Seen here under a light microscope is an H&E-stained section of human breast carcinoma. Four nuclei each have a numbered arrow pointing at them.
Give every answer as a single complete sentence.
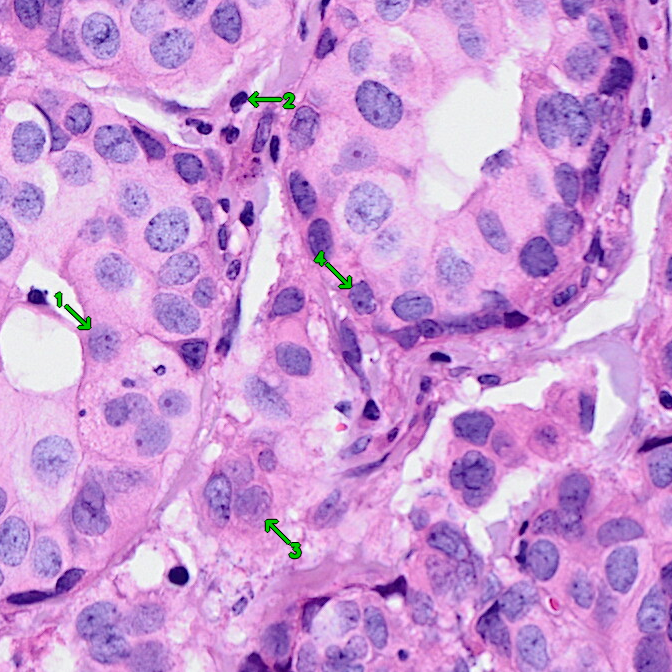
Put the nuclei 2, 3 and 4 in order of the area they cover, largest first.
From largest to smallest, the order is 3, 4, 2.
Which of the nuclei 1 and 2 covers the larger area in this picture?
Of the two, number 1 is bigger and takes up about 4 times the area of number 2.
